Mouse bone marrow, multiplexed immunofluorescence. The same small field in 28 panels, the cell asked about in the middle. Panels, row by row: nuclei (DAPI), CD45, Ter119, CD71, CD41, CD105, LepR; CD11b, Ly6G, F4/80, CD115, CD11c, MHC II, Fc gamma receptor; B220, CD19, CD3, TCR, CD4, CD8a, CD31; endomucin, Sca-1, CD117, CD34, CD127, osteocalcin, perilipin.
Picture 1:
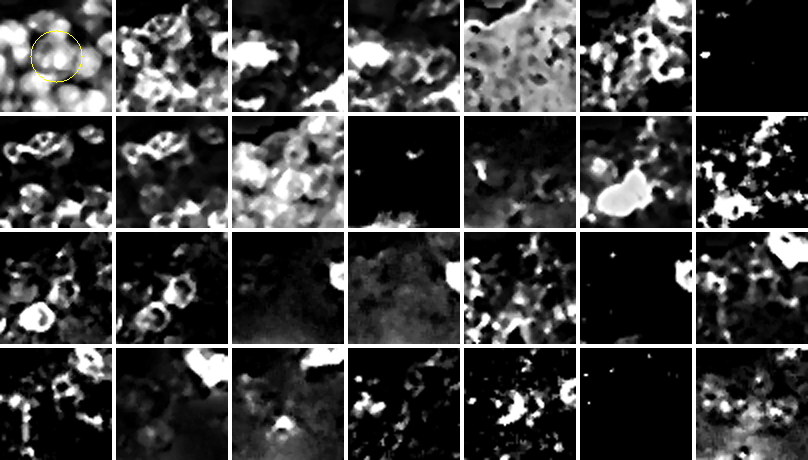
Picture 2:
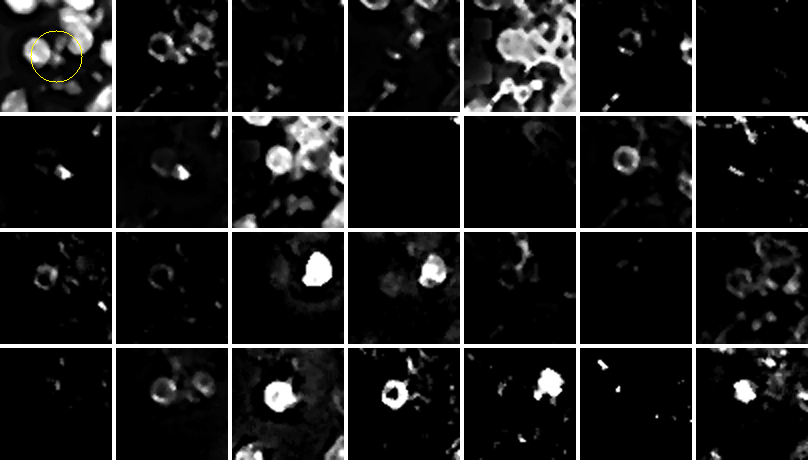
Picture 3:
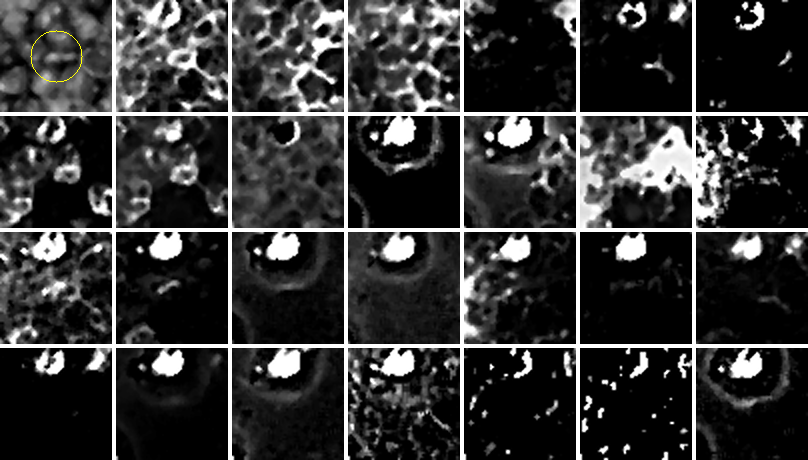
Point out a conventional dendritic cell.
That is picture 3.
